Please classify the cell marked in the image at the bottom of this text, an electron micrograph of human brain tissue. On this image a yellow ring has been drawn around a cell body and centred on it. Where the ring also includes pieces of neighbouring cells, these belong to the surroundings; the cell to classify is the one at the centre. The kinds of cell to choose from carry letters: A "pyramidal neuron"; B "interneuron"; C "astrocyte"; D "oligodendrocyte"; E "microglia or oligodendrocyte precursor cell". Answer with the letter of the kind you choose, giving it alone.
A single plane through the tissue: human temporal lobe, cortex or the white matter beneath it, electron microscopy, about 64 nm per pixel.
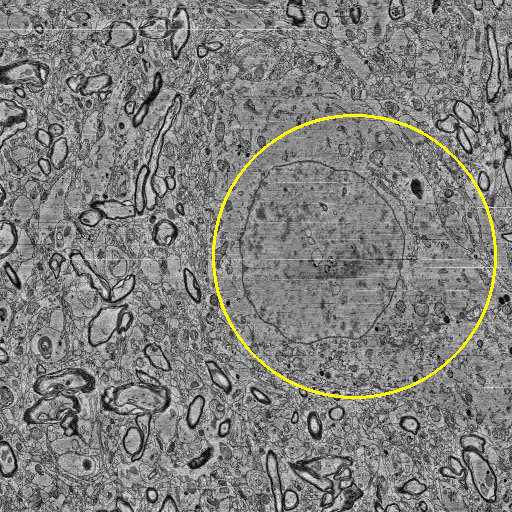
A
